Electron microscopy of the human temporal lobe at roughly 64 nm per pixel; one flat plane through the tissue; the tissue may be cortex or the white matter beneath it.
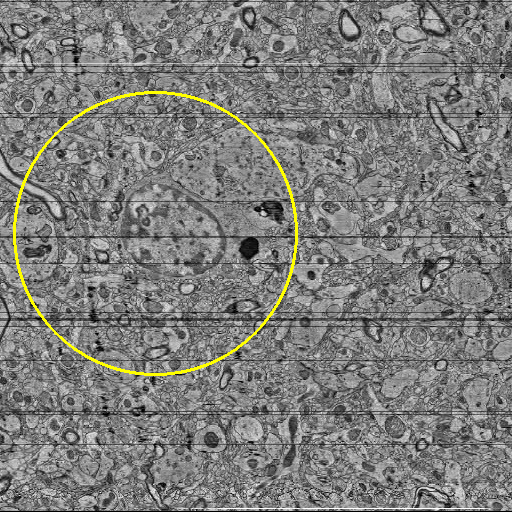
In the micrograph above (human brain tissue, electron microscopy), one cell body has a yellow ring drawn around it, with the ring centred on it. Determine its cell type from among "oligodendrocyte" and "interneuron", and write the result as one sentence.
The cell whose body is ringed is an oligodendrocyte.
